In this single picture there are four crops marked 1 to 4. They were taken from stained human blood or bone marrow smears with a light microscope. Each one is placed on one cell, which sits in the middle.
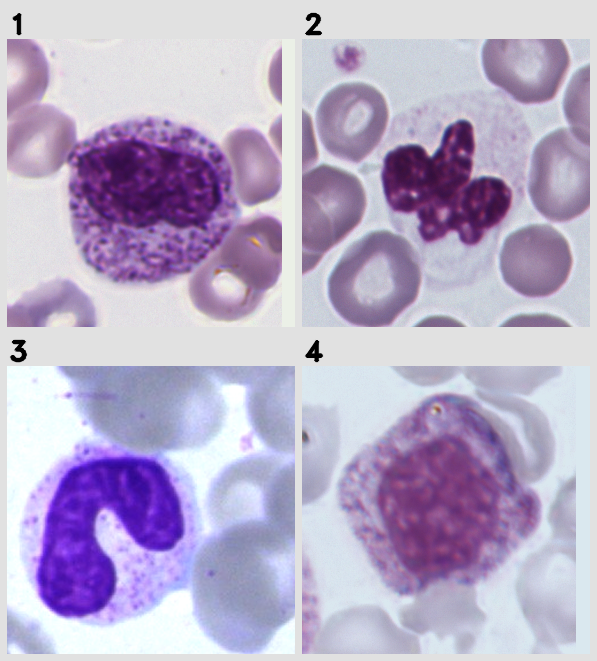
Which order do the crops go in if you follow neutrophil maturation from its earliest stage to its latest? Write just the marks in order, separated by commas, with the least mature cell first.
4, 1, 3, 2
